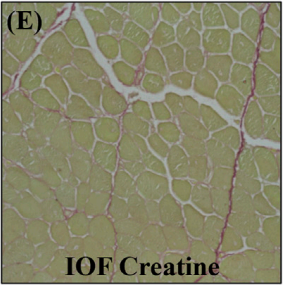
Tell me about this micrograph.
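This field shows skeletal muscle cut in cross-section, the myofibers forming tightly packed polygonal olive-green profiles. Fine red-stained connective tissue septa run between the fibers, and a few longer red strands cross the field between bundles. Pale gaps mark the boundaries where groups of fibers meet.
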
